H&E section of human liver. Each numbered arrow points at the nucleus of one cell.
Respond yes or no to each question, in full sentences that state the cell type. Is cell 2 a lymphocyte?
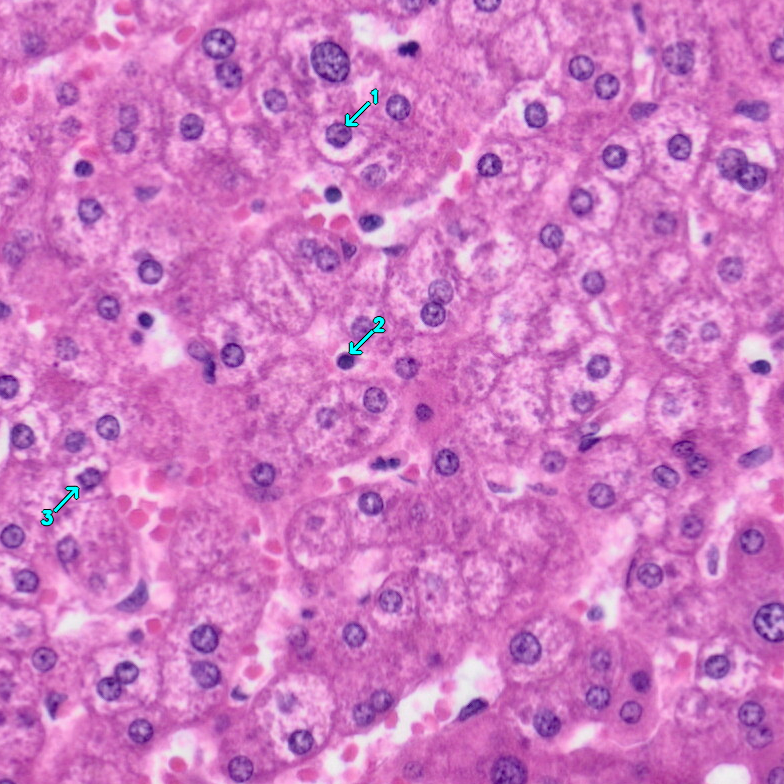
Yes, the marked cell number 2 is a lymphocyte.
